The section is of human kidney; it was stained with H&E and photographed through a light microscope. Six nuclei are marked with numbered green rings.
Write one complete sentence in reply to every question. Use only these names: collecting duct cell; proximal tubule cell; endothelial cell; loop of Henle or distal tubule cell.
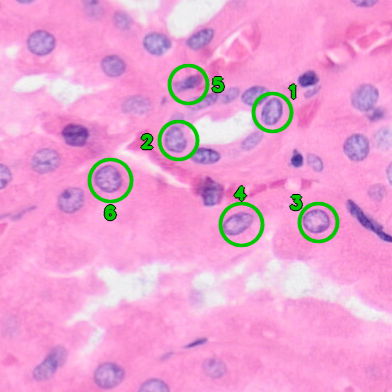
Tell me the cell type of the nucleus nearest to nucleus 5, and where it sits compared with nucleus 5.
The nearest one is a collecting duct cell, found below and to the right of nucleus 5.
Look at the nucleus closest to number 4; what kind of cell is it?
It is an endothelial cell whose nucleus is nearest to number 4.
